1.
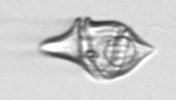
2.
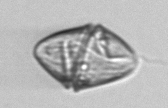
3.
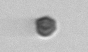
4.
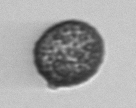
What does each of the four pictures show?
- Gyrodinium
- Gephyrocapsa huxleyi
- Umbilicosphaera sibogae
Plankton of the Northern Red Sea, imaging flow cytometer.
(1) Gyrodinium
(2) Gyrodinium
(3) Gephyrocapsa huxleyi
(4) Umbilicosphaera sibogae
